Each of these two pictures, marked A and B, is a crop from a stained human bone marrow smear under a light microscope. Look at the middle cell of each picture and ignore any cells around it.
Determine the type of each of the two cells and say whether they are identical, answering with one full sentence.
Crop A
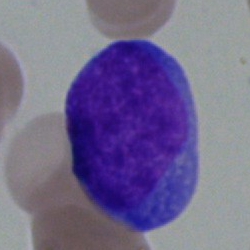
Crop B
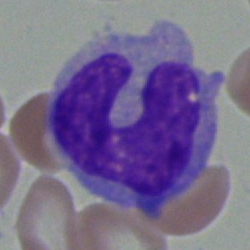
No, crop A is the one with a blast; crop B has a monocyte.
